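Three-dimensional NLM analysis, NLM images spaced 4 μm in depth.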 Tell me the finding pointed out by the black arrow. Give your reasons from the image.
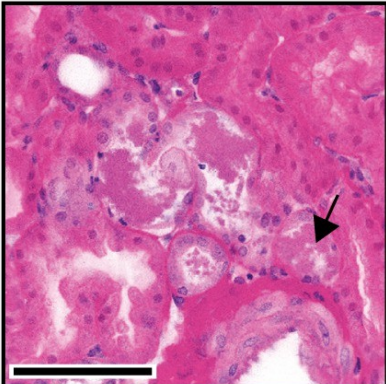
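The arrowed tubule has a pale, disrupted epithelium. Its lumen holds fragmented, granular material. The answer: necrosis.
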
